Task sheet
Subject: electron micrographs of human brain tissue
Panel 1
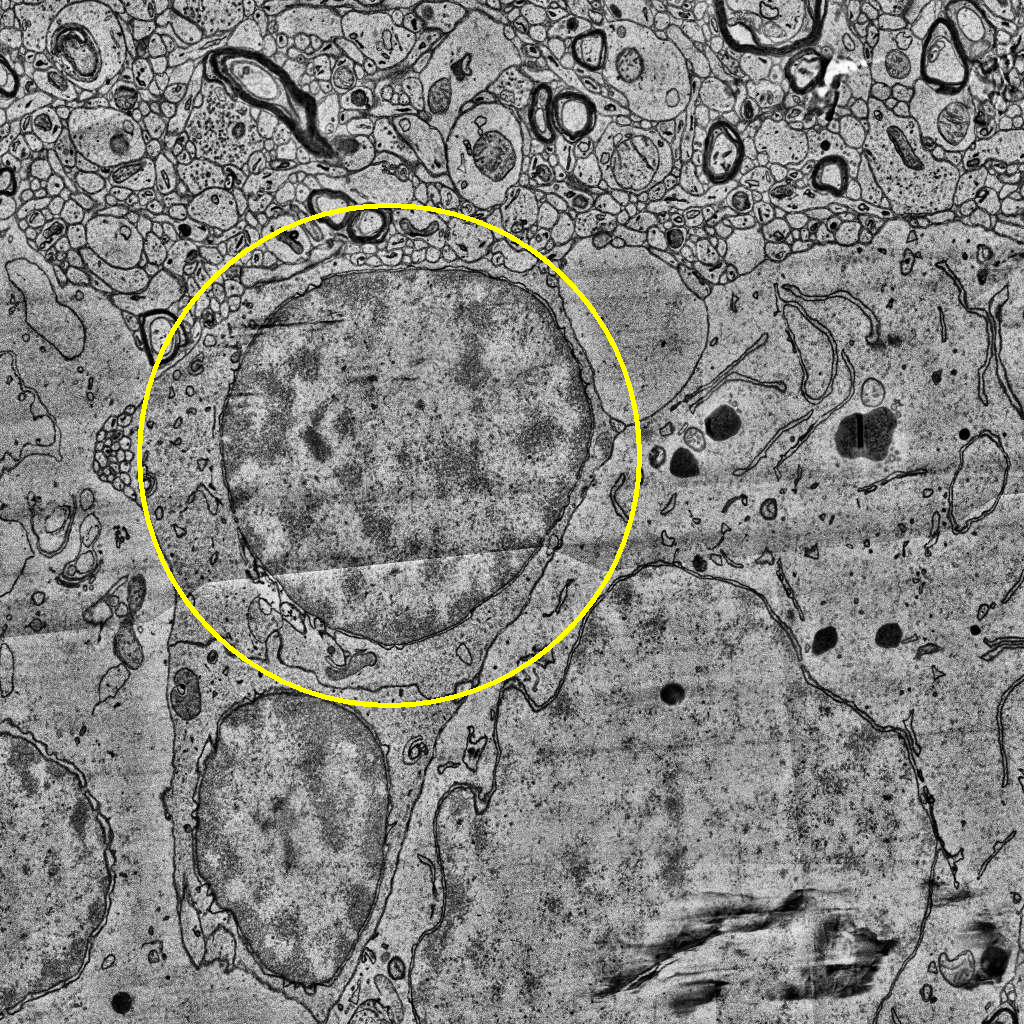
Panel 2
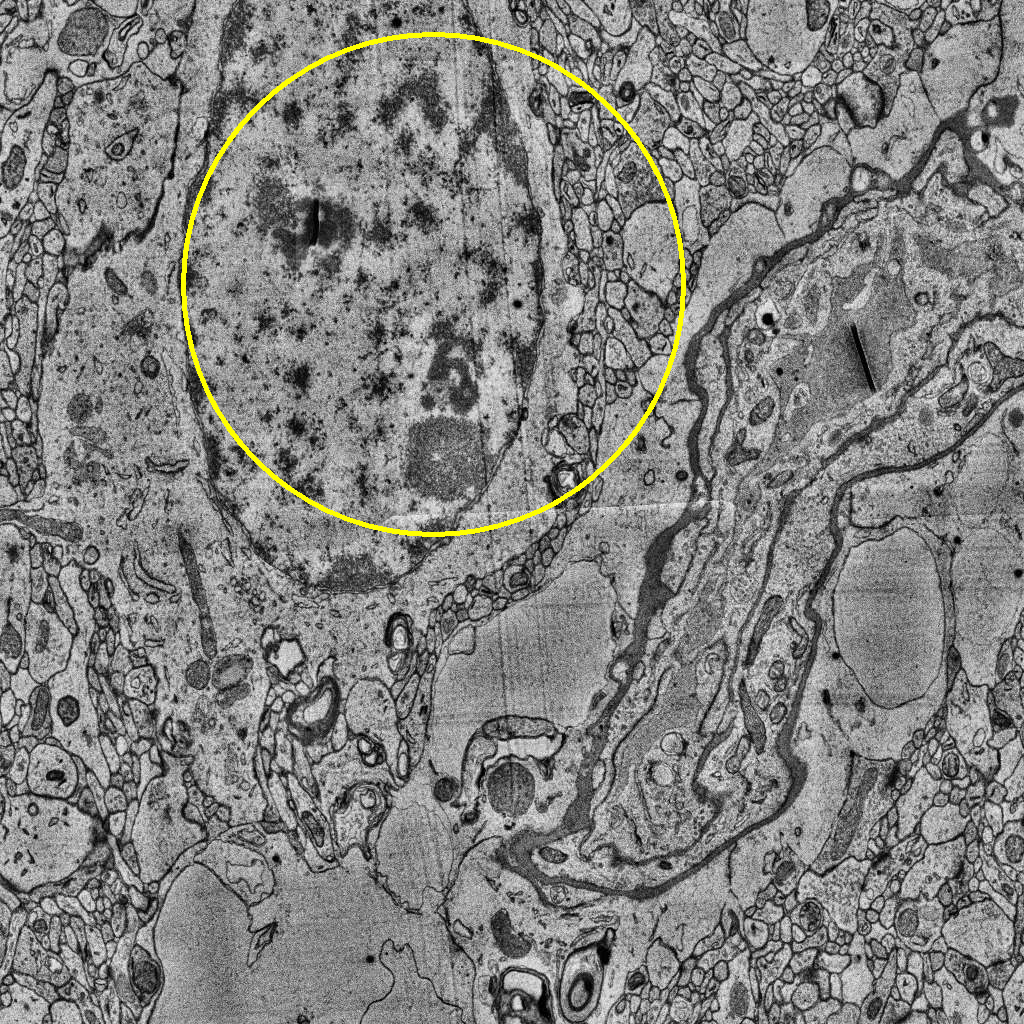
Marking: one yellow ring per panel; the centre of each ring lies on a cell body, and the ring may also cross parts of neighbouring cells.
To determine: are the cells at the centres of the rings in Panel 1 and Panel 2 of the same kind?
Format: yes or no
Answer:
no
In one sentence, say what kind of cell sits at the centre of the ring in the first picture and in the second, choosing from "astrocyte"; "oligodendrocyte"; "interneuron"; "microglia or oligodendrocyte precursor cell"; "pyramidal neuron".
The second picture holds a microglial cell or oligodendrocyte precursor cell in its ring, and the first holds an oligodendrocyte.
